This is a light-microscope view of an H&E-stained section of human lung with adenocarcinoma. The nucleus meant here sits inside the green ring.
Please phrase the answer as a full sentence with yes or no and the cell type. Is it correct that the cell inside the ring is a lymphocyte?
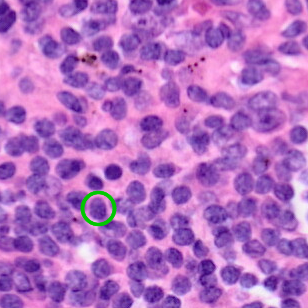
Yes, the cell inside the ring corresponds to a lymphocyte in this tissue.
